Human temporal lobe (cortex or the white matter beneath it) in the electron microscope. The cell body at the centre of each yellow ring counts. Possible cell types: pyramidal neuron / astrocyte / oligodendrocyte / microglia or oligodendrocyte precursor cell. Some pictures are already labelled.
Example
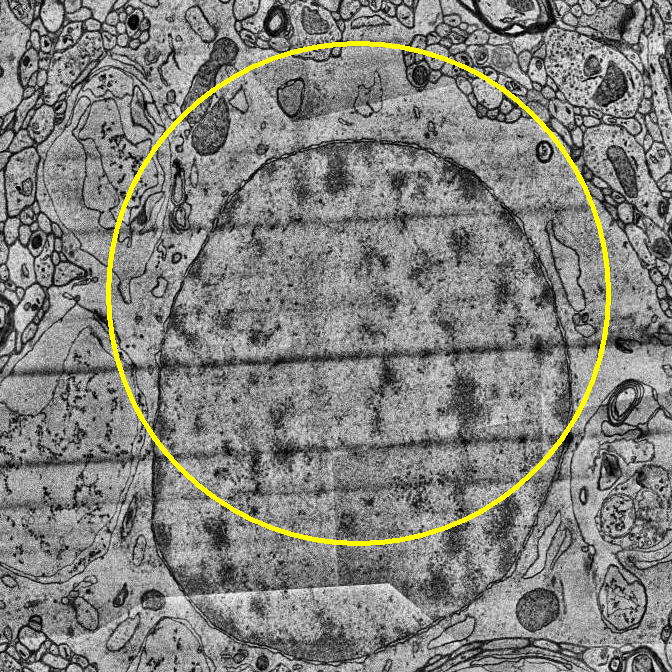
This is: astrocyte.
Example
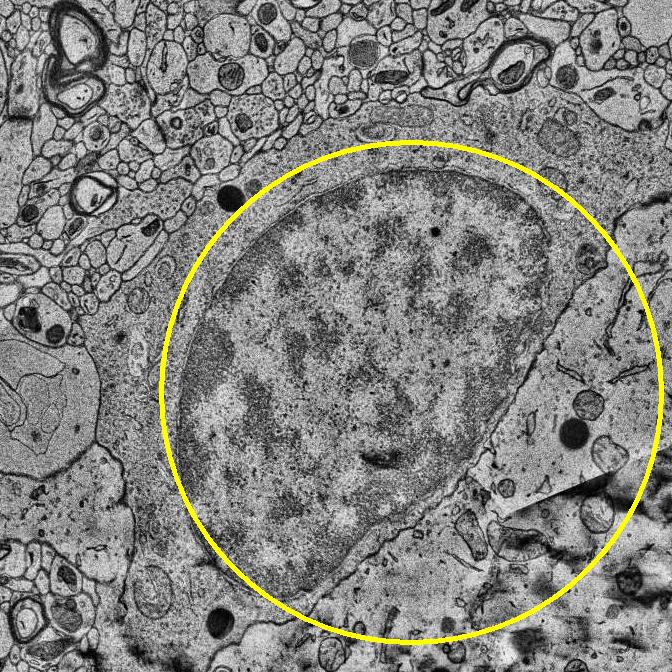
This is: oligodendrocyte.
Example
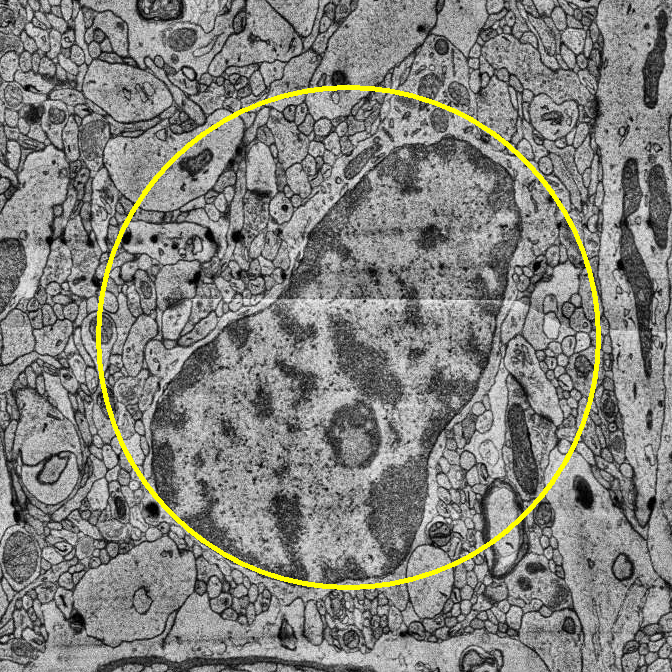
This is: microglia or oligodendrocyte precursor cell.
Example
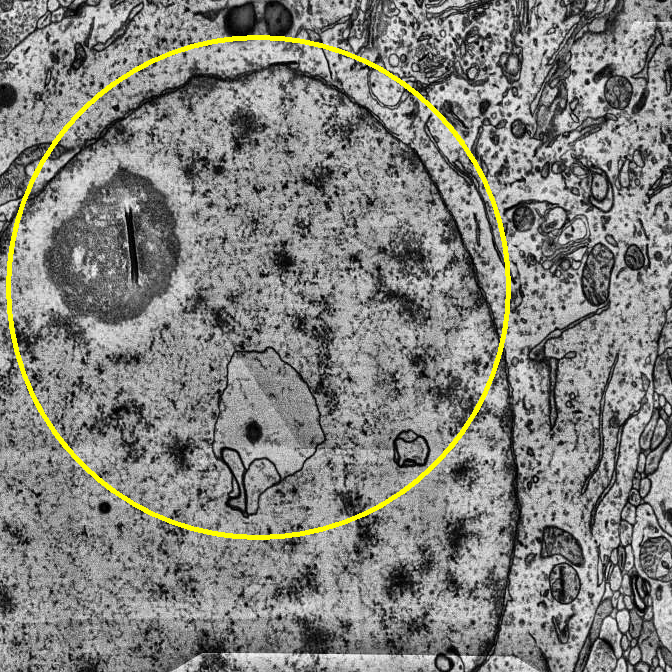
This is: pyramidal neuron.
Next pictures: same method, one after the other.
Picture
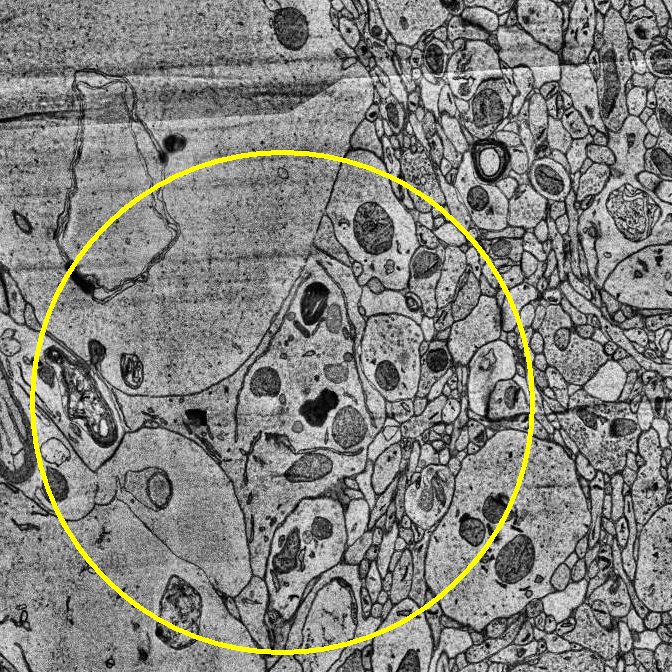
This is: microglia or oligodendrocyte precursor cell.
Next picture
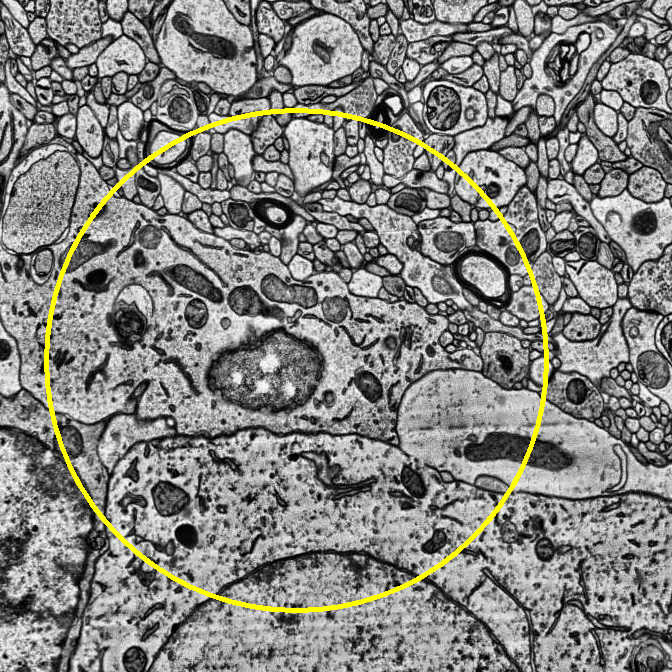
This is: microglia or oligodendrocyte precursor cell.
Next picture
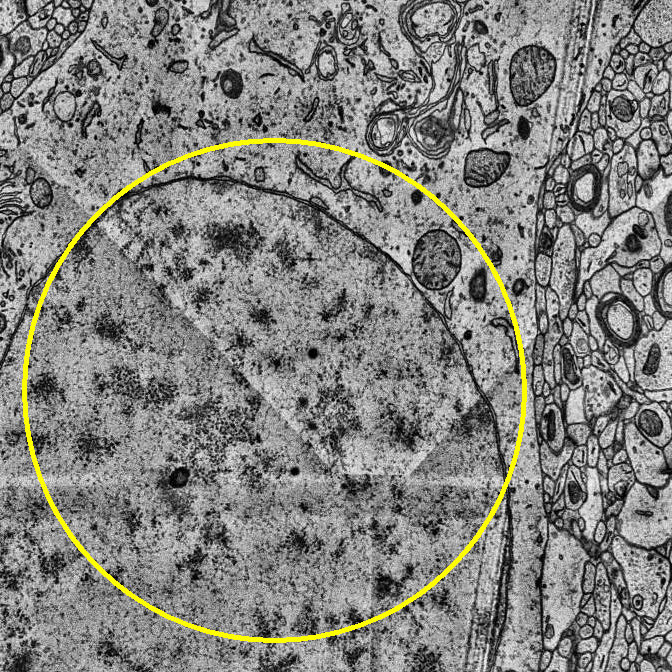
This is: pyramidal neuron.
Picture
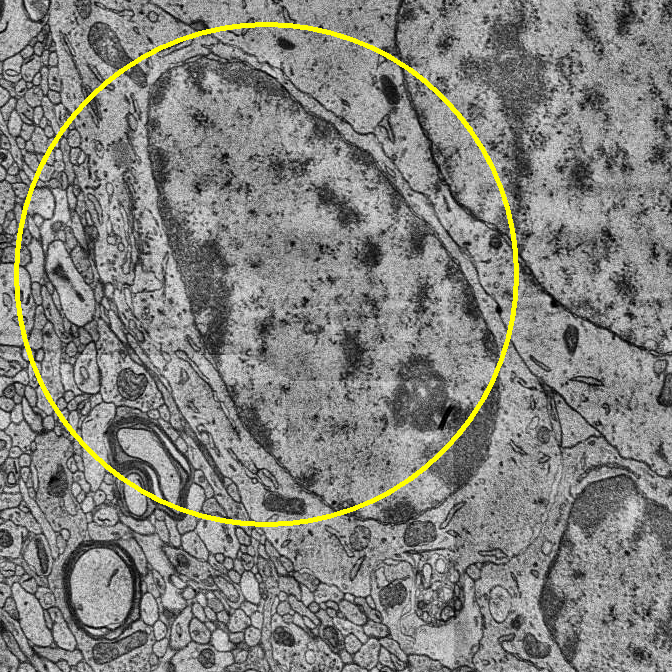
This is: microglia or oligodendrocyte precursor cell.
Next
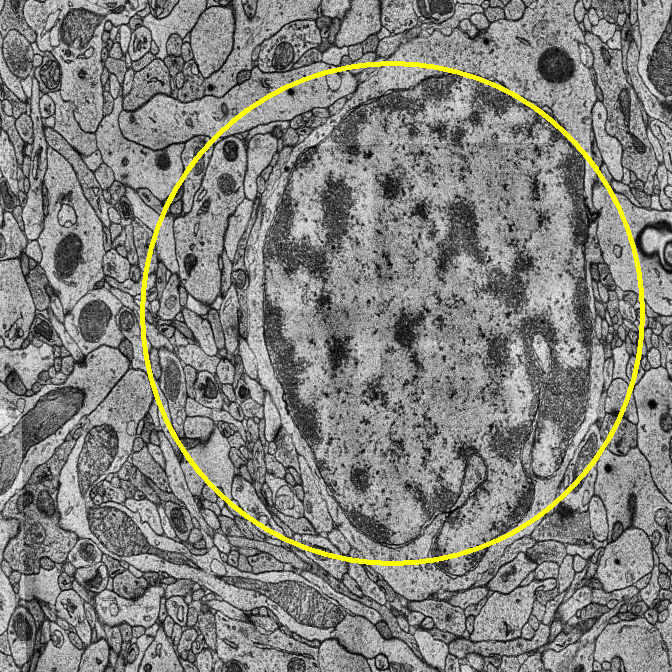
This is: microglia or oligodendrocyte precursor cell.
